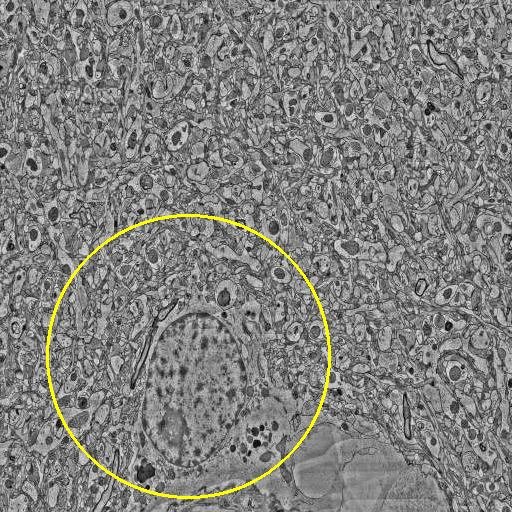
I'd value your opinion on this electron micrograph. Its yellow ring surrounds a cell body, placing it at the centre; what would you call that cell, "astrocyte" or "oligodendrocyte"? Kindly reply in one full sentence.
It is an astrocyte that sits centred within the yellow ring in this micrograph.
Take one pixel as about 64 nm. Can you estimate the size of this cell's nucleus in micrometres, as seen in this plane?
In this plane, the nucleus of the cell at the centre of the ring measures about 10 by 6 micrometres.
